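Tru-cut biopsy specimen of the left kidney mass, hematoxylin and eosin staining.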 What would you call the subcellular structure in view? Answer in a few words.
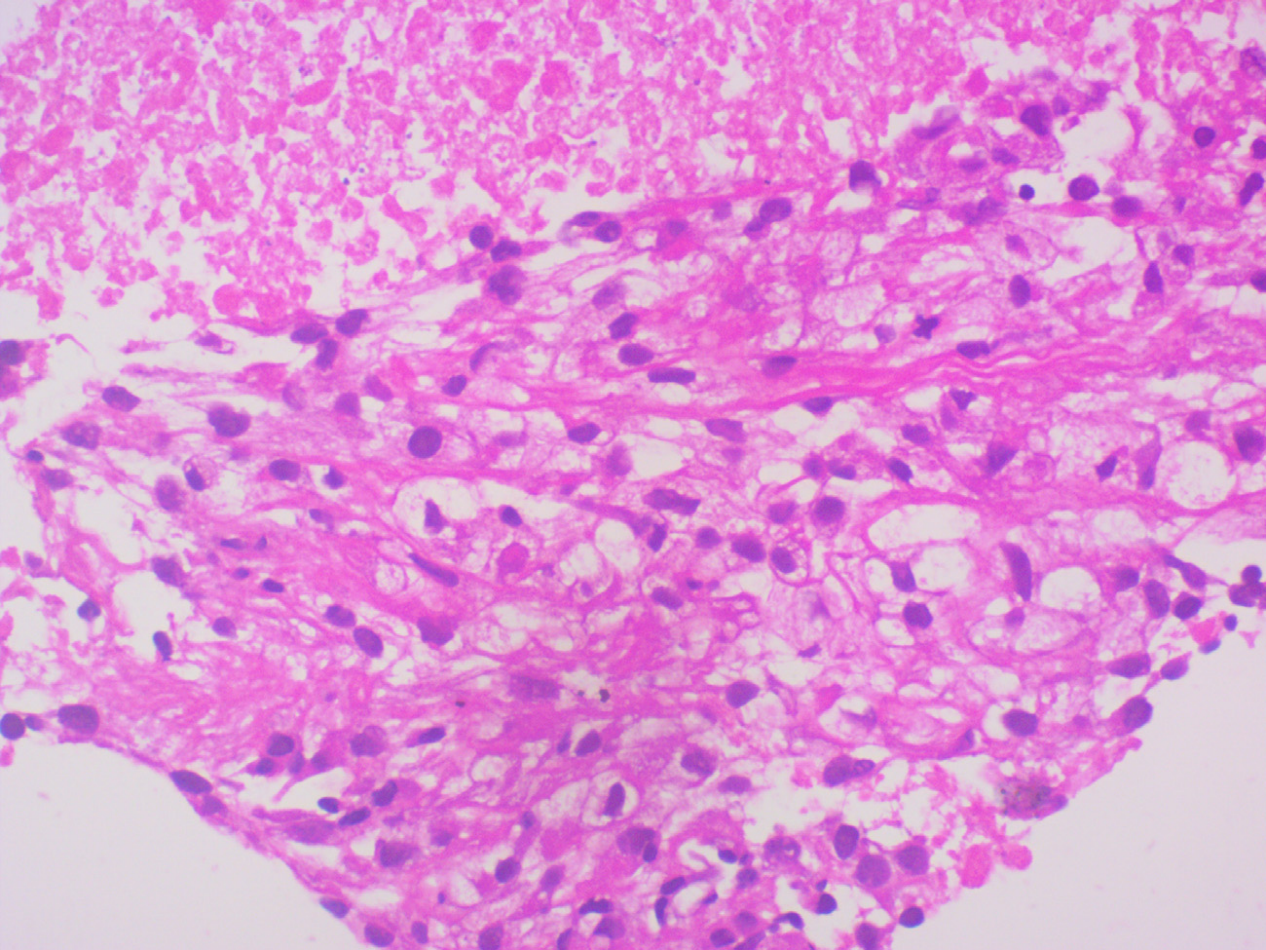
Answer: Abundant clear cytoplasm that are vacuolated.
